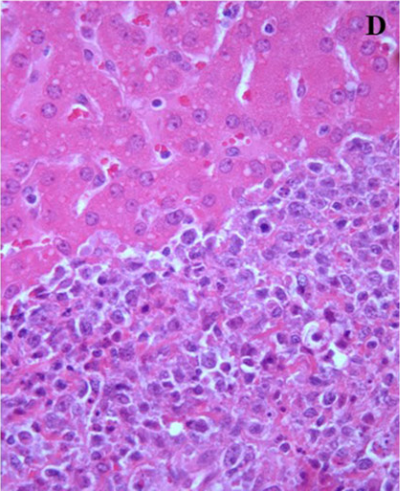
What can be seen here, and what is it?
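The upper half shows liver cells: large polygonal cells with abundant pink cytoplasm and round central nuclei with visible nucleoli, separated by narrow channels holding a few red blood cells. The two populations meet along a fairly sharp edge. This is a lymphoid infiltrate expanding the liver tissue next to intact hepatocytes.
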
